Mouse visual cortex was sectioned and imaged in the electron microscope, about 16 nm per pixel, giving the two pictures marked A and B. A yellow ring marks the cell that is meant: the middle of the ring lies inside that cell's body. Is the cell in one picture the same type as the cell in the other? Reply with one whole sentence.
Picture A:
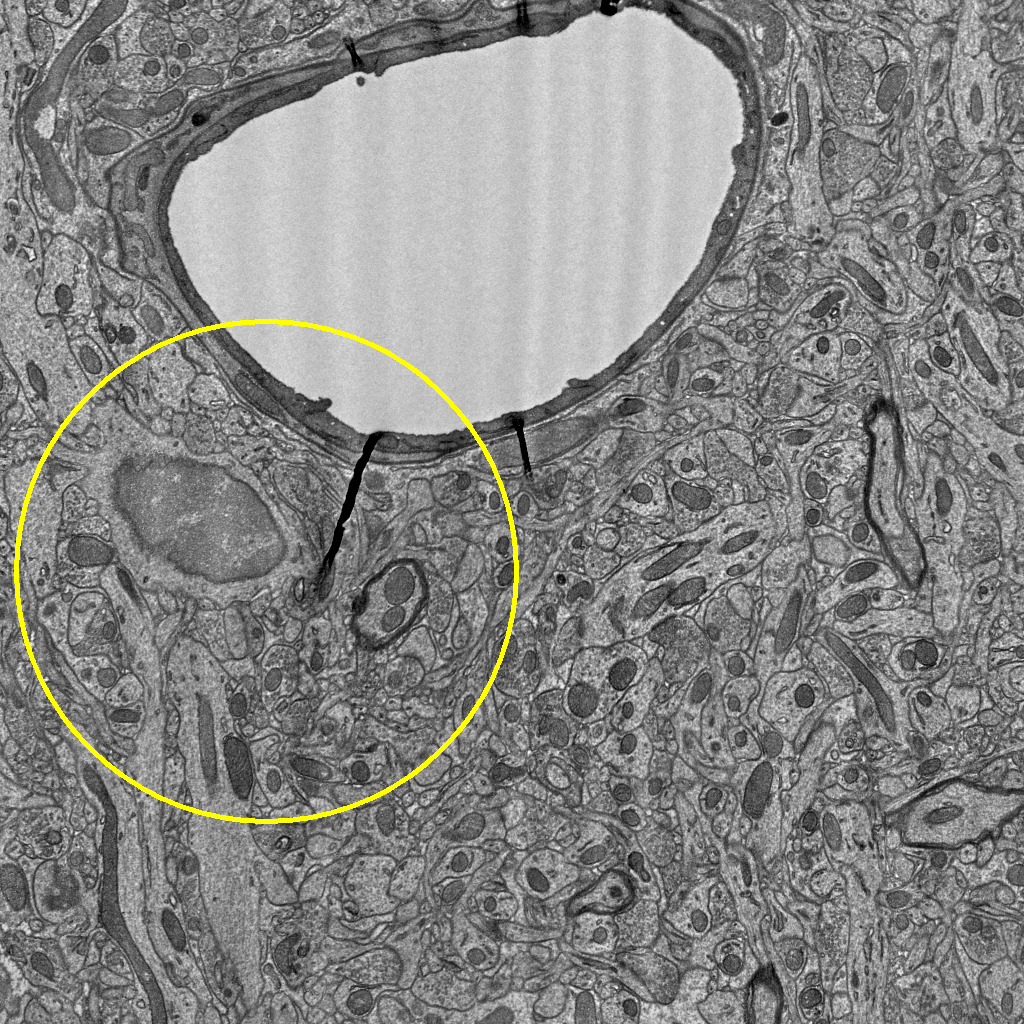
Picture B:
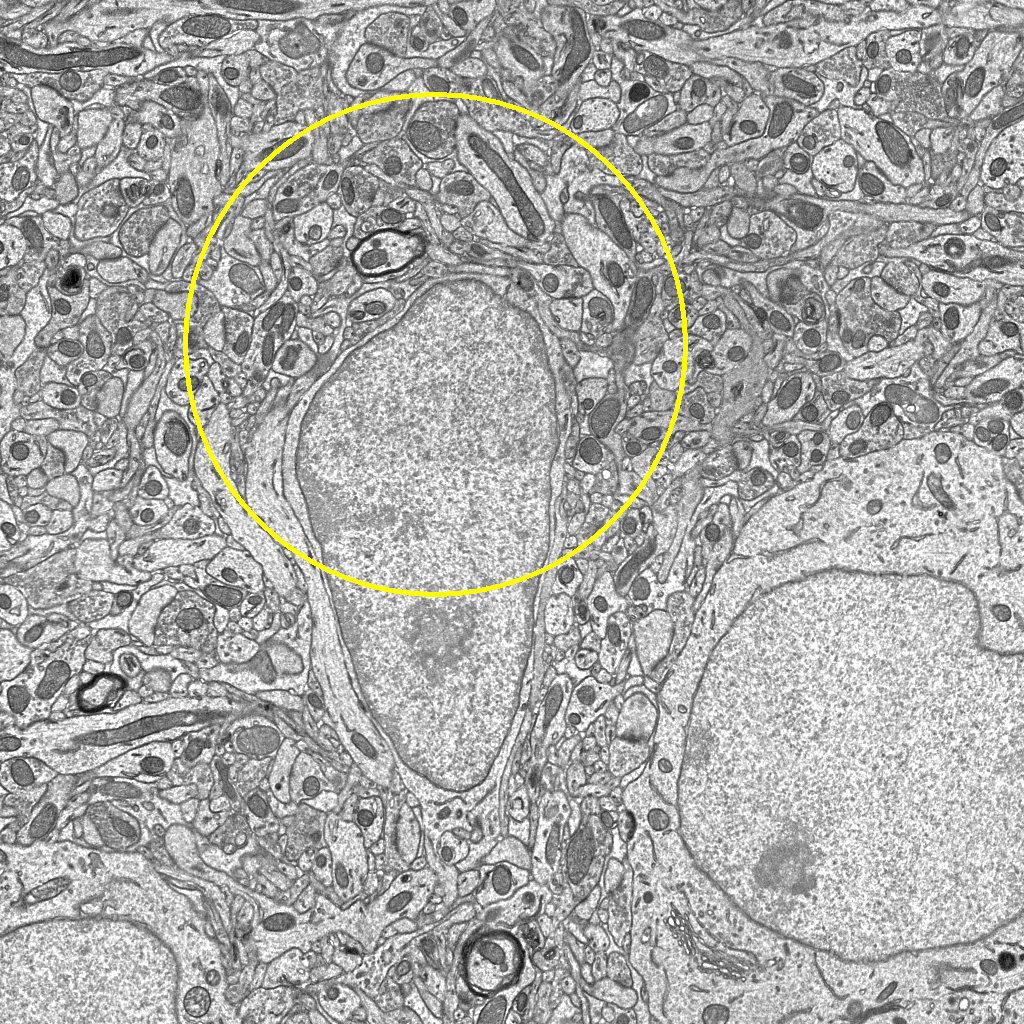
No, picture A shows a microglial cell and picture B shows an oligodendrocyte precursor cell.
